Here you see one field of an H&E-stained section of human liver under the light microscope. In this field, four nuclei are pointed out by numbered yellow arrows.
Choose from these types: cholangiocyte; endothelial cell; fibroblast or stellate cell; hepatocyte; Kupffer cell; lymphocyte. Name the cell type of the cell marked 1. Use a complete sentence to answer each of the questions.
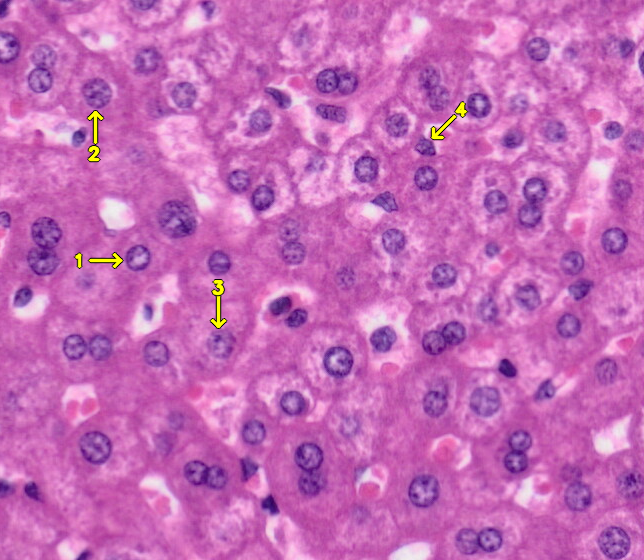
The numbered cell 1 in this field is a hepatocyte.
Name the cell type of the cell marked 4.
Classified as an endothelial cell is the cell with the number 4.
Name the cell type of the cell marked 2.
Identified as a hepatocyte is the cell bearing the number 2.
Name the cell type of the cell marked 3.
Cell 3, as marked in the section, is a hepatocyte.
